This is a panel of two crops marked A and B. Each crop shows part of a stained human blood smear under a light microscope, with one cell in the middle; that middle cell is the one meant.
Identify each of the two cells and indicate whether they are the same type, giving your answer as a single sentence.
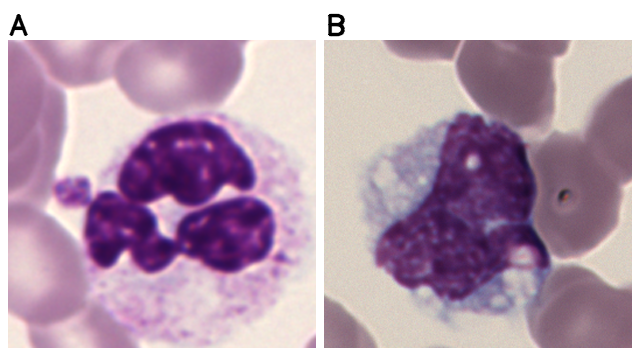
No, crop A contains a segmented neutrophil, whereas crop B contains a monocyte.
